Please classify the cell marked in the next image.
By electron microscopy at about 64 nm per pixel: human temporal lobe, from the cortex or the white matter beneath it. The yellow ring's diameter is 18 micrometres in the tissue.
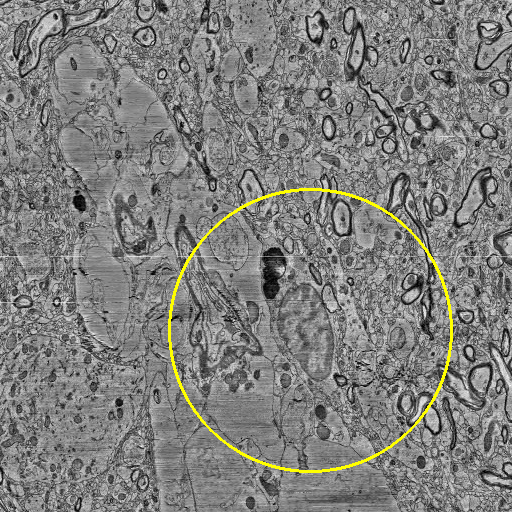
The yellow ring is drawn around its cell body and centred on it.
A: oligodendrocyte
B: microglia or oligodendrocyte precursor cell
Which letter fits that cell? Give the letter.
A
